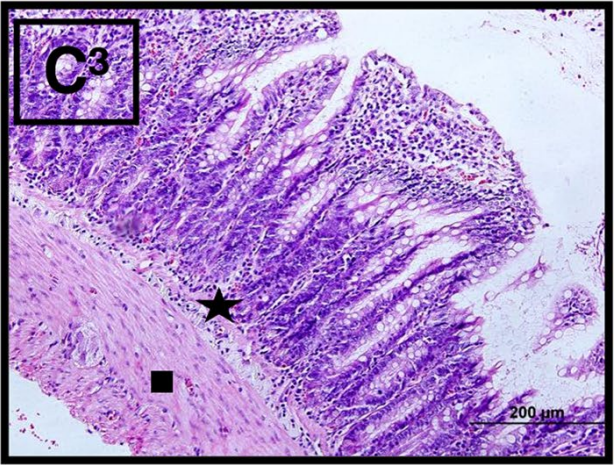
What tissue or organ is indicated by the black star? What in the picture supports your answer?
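The star lies in a thin band of loose, lightly stained connective tissue. This band lies between the purple glandular mucosa and the pink muscle layer. So: submucosal layer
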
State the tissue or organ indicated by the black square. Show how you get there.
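The square lies in a thick pink band of smooth muscle with elongated nuclei. The band forms the outer wall beneath the loose connective tissue layer. The answer: tunica muscularis.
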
